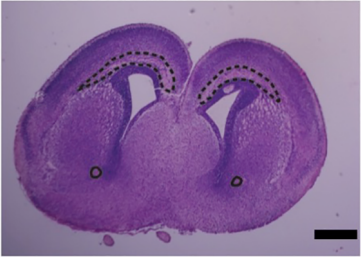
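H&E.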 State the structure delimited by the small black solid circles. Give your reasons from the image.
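Anterior commissures. A small round outlined spot lies deep in each hemisphere, symmetric about the midline. The circled spots lie below and lateral to the slit-like ventricles.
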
